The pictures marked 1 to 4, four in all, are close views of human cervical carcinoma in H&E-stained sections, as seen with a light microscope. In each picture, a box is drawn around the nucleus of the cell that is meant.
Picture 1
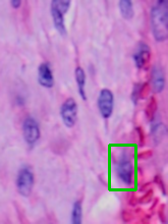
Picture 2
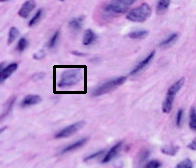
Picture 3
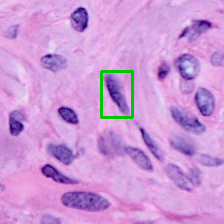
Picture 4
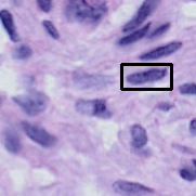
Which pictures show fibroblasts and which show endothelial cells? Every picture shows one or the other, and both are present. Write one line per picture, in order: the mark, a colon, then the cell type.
1: endothelial cell
2: fibroblast
3: fibroblast
4: fibroblast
